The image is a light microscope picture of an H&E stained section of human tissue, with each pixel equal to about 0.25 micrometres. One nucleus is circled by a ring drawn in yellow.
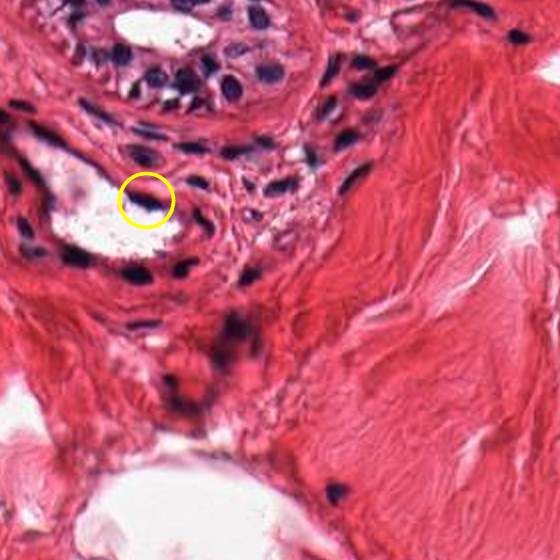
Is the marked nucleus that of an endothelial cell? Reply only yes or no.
yes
